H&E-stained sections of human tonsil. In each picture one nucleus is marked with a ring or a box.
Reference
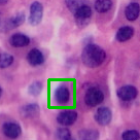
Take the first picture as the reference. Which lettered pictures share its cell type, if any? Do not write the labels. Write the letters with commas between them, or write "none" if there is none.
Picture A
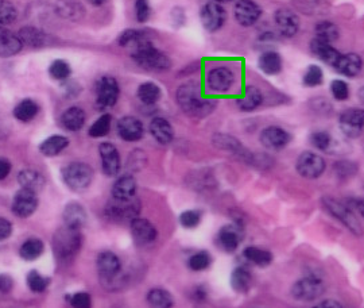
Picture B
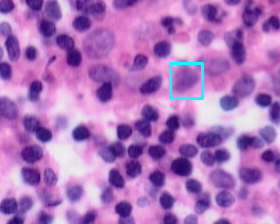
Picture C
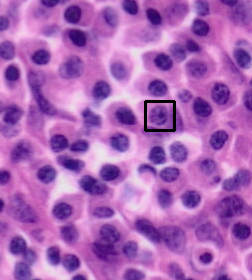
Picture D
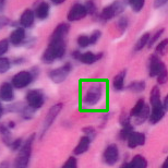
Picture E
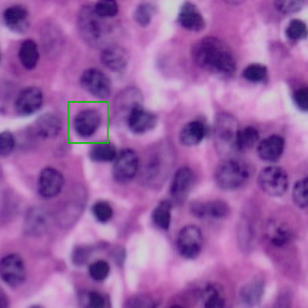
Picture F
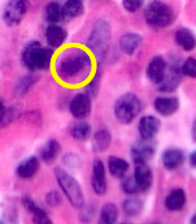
A, C, E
